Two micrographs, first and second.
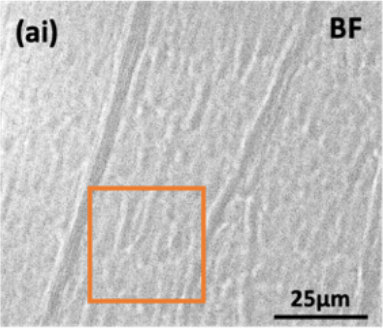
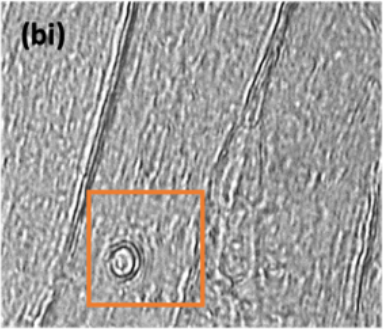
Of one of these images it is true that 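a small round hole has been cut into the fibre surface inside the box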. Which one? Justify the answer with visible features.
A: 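Second image: a round pit with concentric rings sits inside the orange box. First image: the area inside the orange box shows only the even fibre texture, with no pit.
Answer: the second image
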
